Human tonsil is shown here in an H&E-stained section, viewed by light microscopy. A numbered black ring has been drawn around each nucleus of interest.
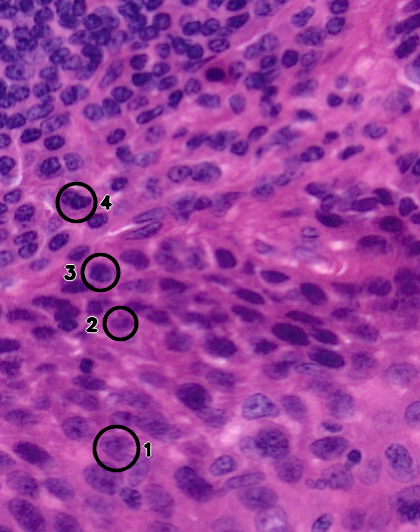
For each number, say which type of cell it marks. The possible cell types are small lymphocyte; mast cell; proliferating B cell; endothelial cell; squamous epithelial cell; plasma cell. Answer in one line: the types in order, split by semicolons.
squamous epithelial cell; squamous epithelial cell; squamous epithelial cell; plasma cell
